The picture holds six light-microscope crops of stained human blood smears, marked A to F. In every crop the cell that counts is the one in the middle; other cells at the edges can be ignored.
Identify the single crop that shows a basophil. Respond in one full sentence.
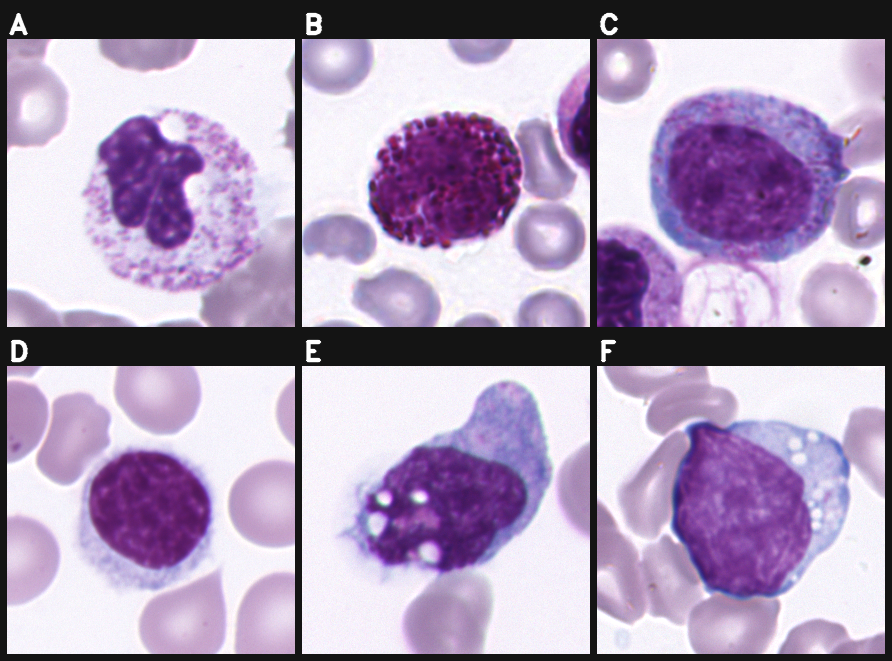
Crop B is the crop that displays a basophil.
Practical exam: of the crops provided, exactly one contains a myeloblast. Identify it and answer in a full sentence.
The crop that shows a myeloblast is crop F.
